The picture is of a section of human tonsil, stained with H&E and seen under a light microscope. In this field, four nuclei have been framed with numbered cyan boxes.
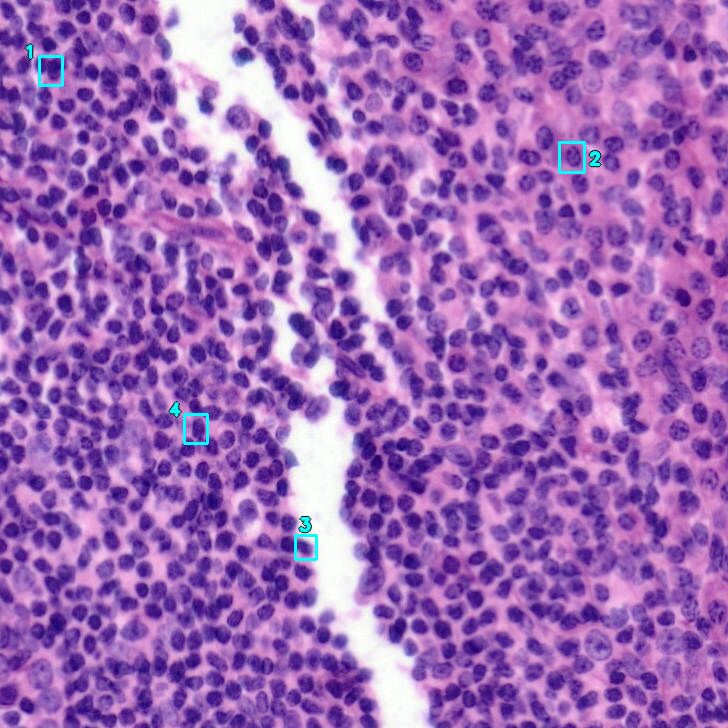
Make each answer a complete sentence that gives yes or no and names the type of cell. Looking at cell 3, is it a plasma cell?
No, the cell marked 3 is a small lymphocyte rather than a plasma cell.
